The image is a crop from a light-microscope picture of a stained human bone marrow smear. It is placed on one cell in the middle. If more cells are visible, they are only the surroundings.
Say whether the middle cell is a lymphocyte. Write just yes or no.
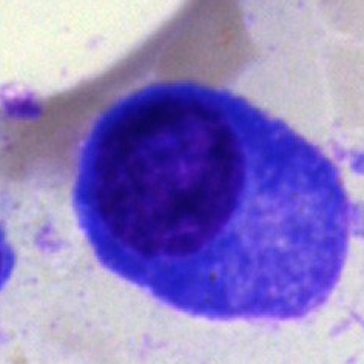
no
